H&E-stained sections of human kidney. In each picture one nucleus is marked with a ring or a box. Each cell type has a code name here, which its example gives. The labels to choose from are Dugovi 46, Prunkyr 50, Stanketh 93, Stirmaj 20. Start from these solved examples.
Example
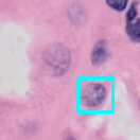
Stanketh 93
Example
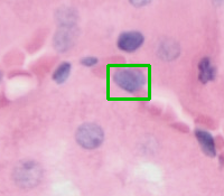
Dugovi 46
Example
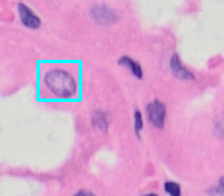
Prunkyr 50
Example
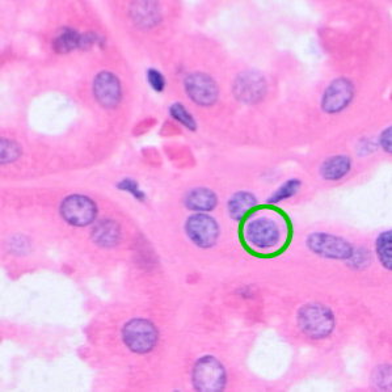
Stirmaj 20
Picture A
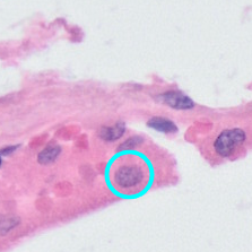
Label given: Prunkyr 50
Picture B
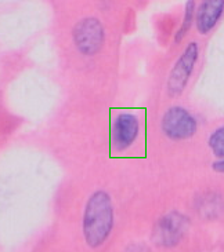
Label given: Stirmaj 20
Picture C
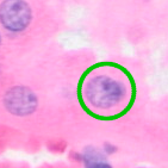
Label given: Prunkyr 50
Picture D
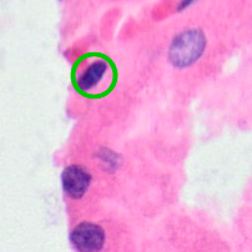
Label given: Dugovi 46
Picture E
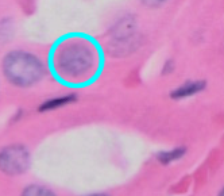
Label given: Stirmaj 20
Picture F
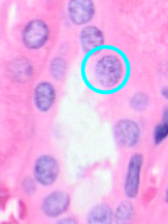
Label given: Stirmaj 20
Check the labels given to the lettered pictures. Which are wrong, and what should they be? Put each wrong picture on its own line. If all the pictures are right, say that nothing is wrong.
Wrong: B (Stirmaj 20); correct: Dugovi 46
